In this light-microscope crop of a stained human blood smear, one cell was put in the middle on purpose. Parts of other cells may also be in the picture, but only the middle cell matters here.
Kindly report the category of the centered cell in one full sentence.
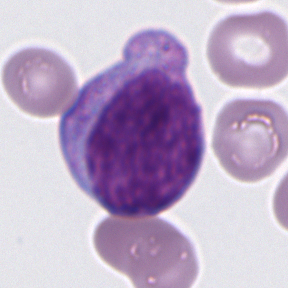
The cell at the middle of the crop is recognized as an atypical promyelocyte.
